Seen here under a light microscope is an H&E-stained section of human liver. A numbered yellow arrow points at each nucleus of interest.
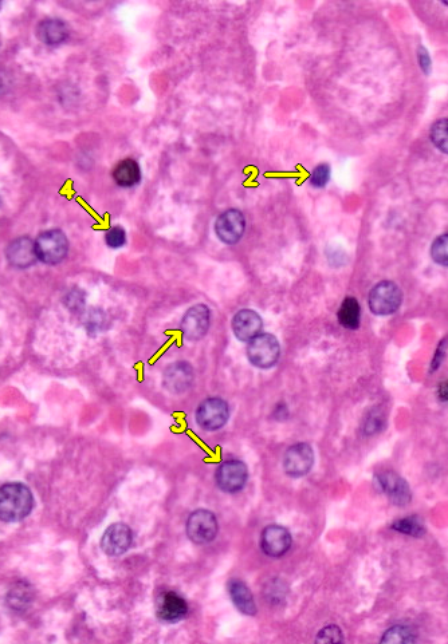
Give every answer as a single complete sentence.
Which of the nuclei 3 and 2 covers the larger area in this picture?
It is nucleus 3, which covers about 2 times the area of nucleus 2.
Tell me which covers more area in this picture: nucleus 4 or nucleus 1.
Nucleus 1 is larger, with an area about 2.5 times that of nucleus 4.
